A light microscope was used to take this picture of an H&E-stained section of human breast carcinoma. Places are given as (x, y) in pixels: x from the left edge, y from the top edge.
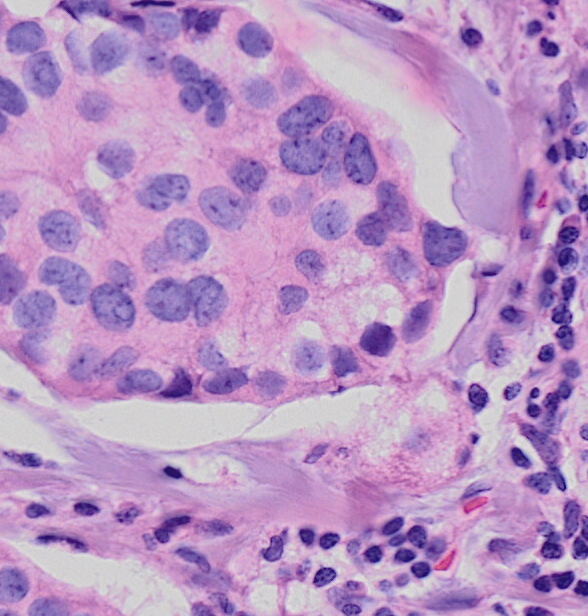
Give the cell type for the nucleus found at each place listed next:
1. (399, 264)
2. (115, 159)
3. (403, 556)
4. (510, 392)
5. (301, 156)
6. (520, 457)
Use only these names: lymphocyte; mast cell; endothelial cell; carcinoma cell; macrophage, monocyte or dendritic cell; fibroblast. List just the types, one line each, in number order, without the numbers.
carcinoma cell
carcinoma cell
lymphocyte
lymphocyte
carcinoma cell
lymphocyte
